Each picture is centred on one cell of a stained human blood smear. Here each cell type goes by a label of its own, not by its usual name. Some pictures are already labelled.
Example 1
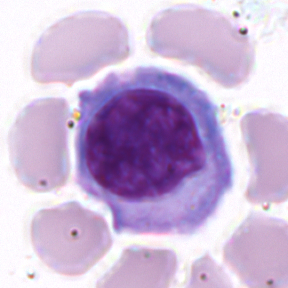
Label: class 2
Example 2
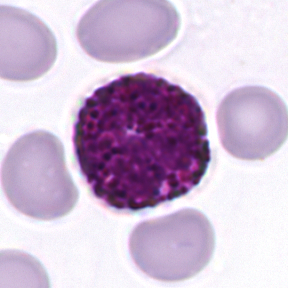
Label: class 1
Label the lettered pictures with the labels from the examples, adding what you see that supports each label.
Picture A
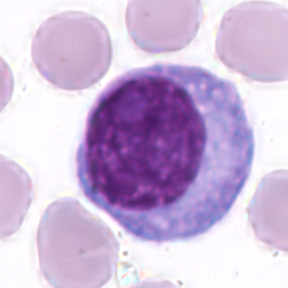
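Label: class 2. The cytoplasm is blue.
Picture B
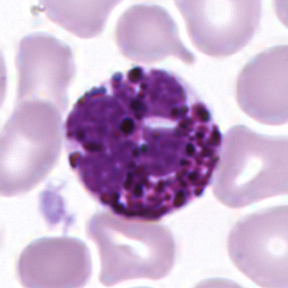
Label: class 1. The granules are most crowded along the right and lower edges of the cell.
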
